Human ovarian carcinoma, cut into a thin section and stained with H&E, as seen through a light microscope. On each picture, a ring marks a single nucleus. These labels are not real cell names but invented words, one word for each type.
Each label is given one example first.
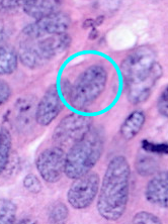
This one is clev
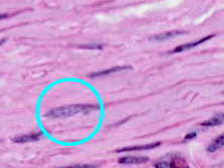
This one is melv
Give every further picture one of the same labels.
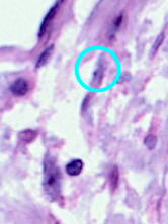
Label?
melv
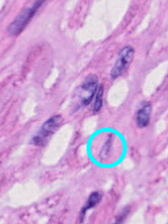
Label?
melv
